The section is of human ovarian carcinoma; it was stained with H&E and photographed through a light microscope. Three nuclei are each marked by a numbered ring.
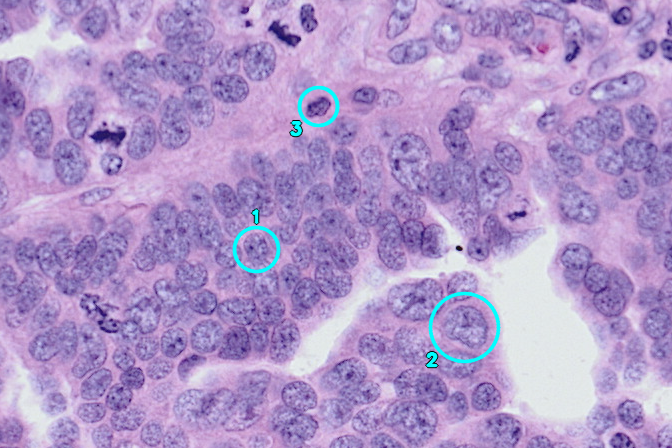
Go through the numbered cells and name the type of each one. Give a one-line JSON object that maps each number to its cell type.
{"1": "carcinoma cell", "2": "carcinoma cell", "3": "lymphocyte"}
